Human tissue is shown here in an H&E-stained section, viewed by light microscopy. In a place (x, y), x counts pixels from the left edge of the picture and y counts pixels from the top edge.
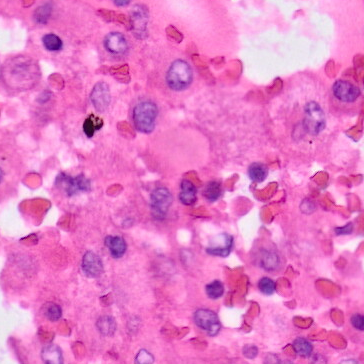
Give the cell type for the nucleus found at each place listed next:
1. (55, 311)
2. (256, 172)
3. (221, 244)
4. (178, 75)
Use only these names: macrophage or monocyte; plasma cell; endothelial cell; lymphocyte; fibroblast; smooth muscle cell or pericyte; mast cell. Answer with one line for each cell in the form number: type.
1: macrophage or monocyte
2: lymphocyte
3: macrophage or monocyte
4: macrophage or monocyte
